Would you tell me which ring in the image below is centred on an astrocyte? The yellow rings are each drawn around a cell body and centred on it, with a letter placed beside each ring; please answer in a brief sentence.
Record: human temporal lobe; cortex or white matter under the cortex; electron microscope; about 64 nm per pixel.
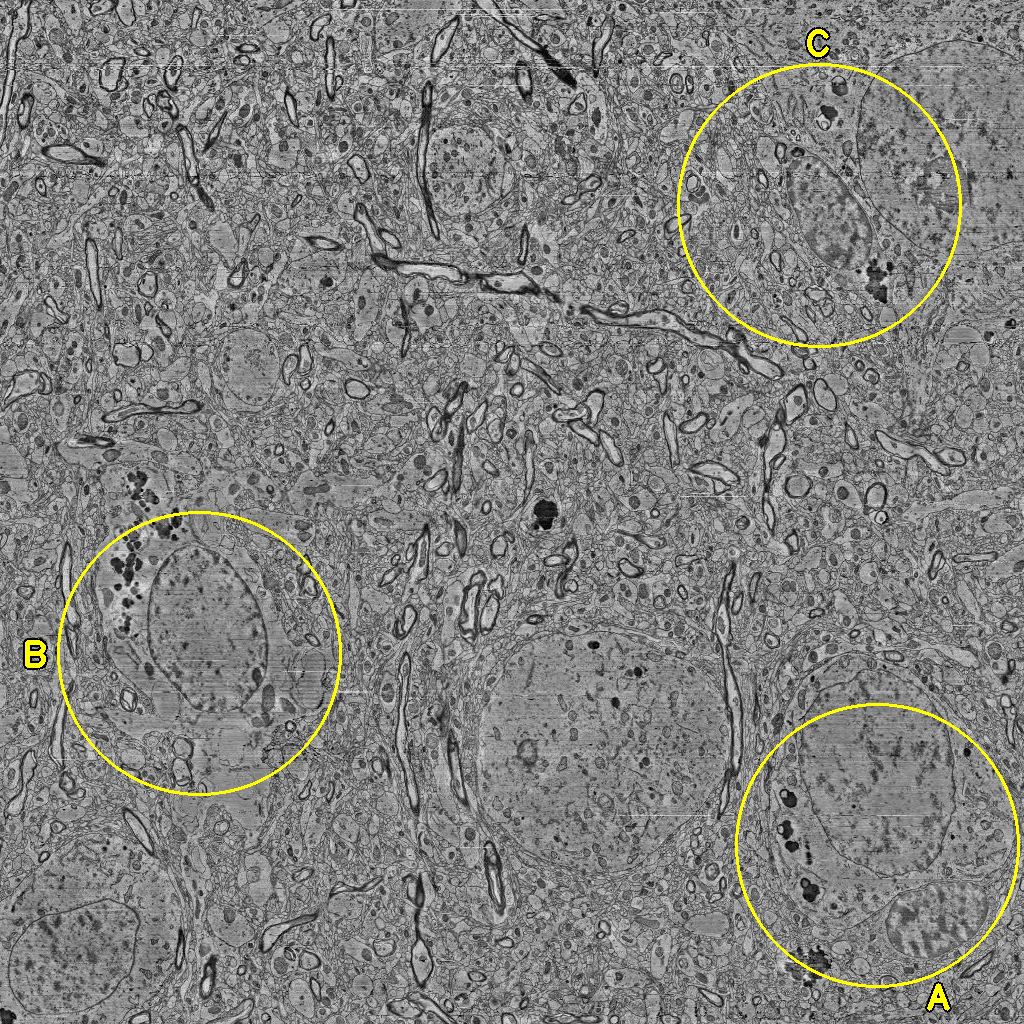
Ring B is centred on it.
